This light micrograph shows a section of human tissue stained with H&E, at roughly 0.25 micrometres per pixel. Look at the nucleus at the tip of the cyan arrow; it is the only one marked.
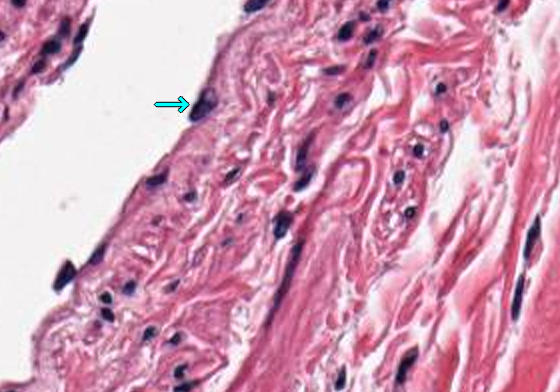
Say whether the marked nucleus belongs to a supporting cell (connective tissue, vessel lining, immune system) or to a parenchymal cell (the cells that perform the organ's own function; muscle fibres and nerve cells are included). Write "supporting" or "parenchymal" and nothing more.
supporting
